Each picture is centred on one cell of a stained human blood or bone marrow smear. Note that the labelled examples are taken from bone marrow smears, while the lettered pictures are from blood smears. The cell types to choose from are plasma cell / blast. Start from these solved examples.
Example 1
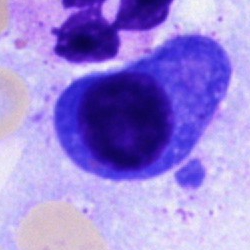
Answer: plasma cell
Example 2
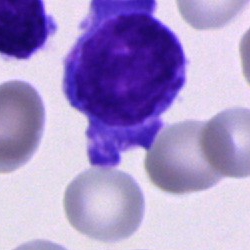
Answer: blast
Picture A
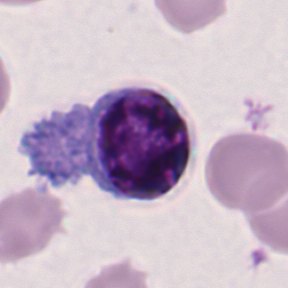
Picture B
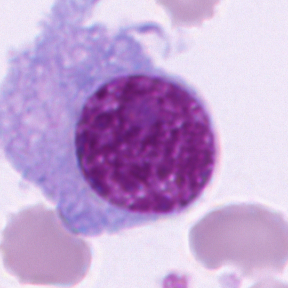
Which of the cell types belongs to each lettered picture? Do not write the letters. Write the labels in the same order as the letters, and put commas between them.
plasma cell, plasma cell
